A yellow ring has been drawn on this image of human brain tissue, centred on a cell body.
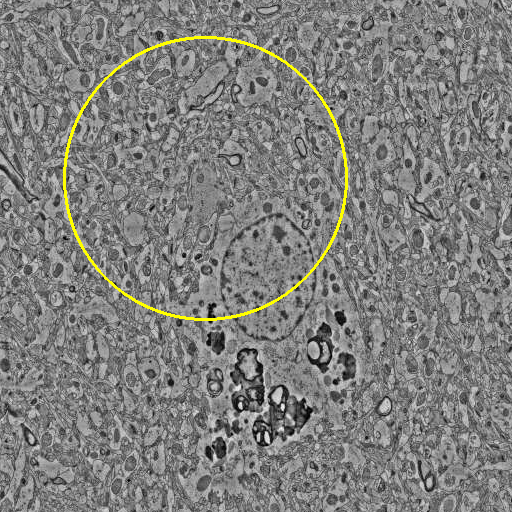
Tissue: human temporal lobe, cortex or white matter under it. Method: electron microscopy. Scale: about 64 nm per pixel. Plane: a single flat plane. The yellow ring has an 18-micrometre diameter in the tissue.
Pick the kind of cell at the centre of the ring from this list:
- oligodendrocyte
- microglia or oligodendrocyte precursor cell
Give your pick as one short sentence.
The centre of the ring holds an oligodendrocyte.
